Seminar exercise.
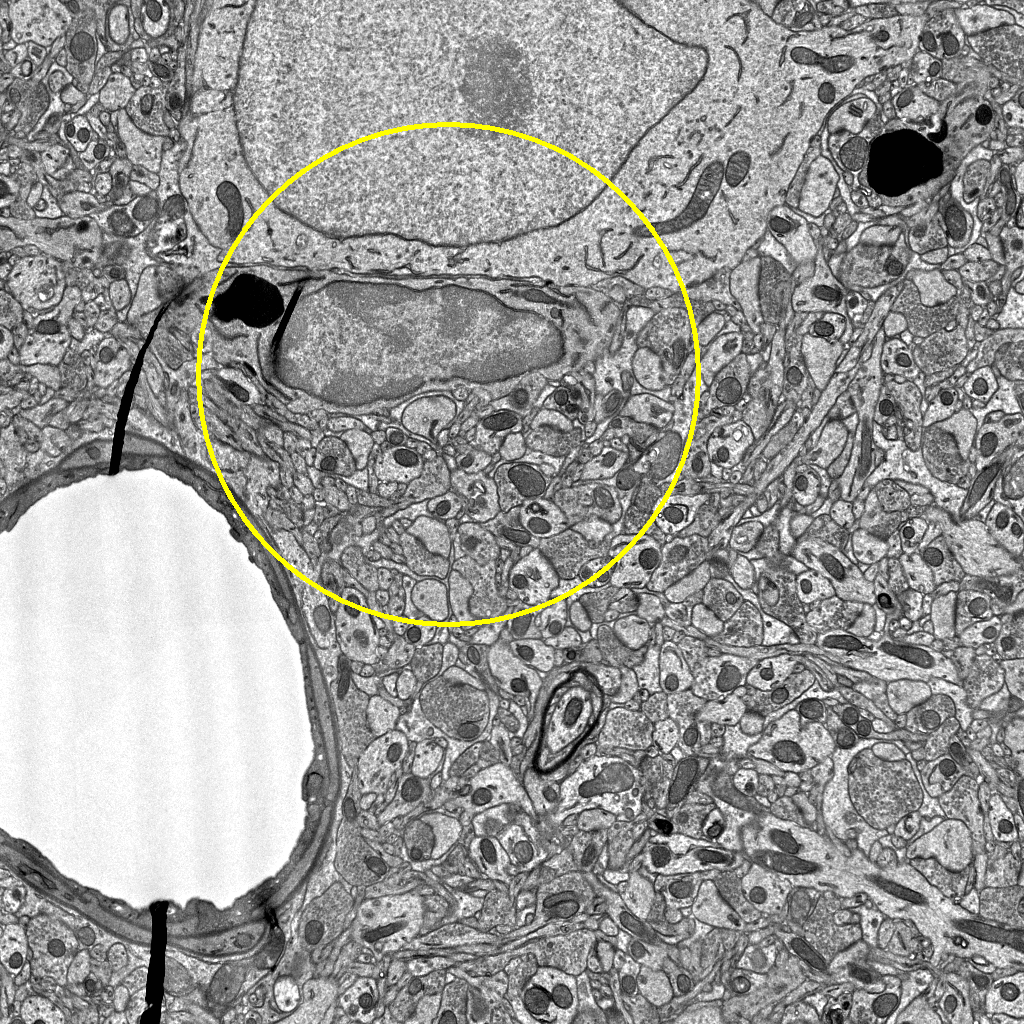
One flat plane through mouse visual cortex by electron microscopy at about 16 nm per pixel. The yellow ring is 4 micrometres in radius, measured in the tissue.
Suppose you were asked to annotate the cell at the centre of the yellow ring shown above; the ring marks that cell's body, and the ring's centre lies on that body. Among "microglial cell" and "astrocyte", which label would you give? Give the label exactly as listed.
microglial cell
